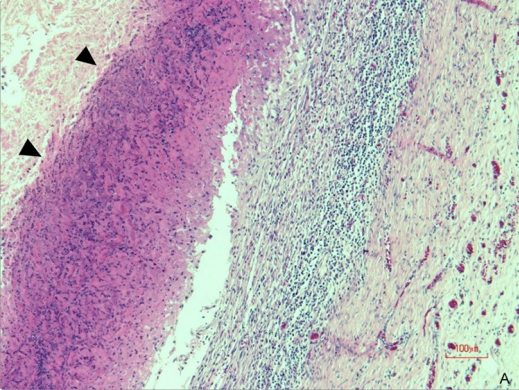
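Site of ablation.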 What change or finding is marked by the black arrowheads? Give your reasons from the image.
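Necrosis with denaturation. The arrowheads point to a pale pink zone at the left edge of the tissue. That zone has few or no recognisable nuclei and a smudged, structureless look. It borders a dense, deeply purple band.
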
